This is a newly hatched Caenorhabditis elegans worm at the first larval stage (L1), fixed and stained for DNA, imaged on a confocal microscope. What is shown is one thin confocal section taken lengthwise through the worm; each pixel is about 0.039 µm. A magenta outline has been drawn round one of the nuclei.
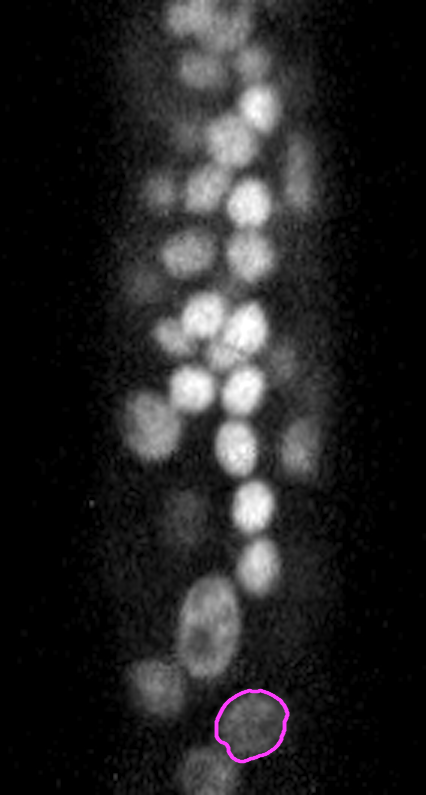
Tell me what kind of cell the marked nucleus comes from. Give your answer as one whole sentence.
The marked nucleus is that of a hypodermal cell (hyp).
